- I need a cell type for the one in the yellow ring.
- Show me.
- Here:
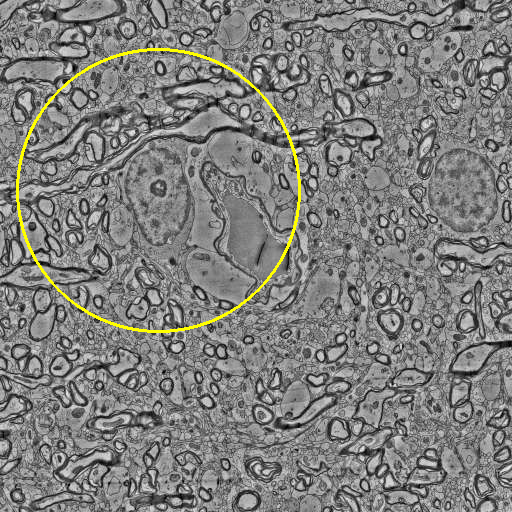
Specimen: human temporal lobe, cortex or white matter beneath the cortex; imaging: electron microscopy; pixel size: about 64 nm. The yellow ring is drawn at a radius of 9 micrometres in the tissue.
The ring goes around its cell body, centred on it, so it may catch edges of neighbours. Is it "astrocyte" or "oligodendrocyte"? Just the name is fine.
oligodendrocyte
